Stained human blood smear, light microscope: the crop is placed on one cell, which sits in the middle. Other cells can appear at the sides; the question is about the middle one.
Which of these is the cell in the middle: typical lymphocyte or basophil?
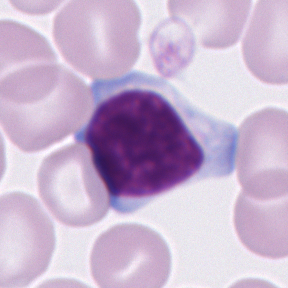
typical lymphocyte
